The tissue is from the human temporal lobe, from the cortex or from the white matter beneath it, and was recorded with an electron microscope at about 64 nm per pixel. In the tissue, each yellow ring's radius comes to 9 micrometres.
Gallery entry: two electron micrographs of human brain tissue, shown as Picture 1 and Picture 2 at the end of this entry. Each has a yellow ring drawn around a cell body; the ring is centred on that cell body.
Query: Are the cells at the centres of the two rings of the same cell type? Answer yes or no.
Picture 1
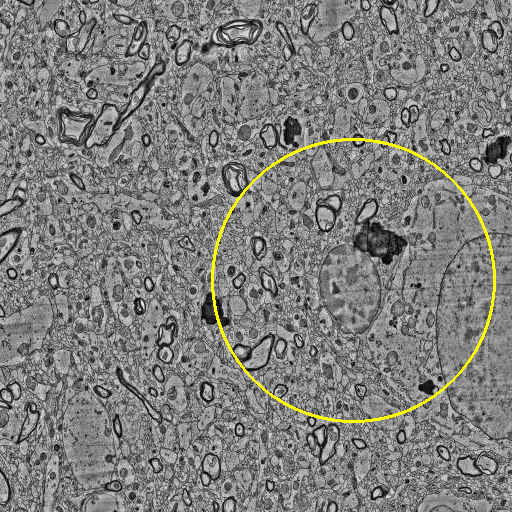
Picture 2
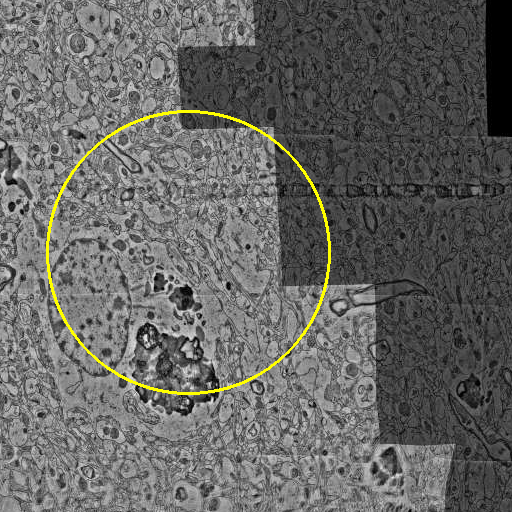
no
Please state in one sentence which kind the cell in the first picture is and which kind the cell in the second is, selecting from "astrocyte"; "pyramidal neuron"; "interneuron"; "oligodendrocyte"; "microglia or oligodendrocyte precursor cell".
The first ringed cell is an oligodendrocyte, the second ringed cell an astrocyte.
